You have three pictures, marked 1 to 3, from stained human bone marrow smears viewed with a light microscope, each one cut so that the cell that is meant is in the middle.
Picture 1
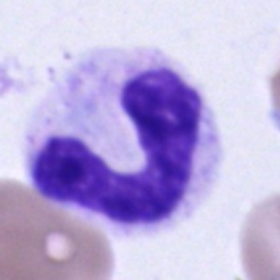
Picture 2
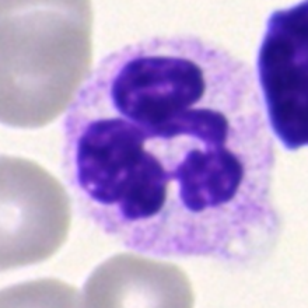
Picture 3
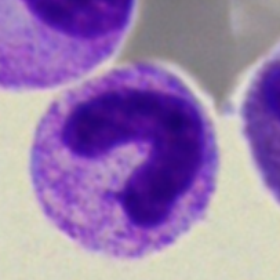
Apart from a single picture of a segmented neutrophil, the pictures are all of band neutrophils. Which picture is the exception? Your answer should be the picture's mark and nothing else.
2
